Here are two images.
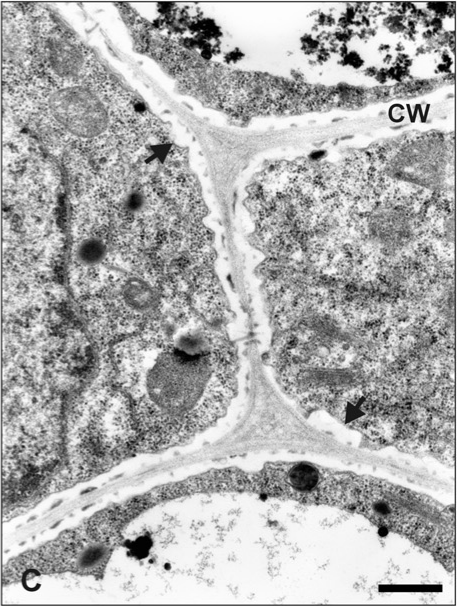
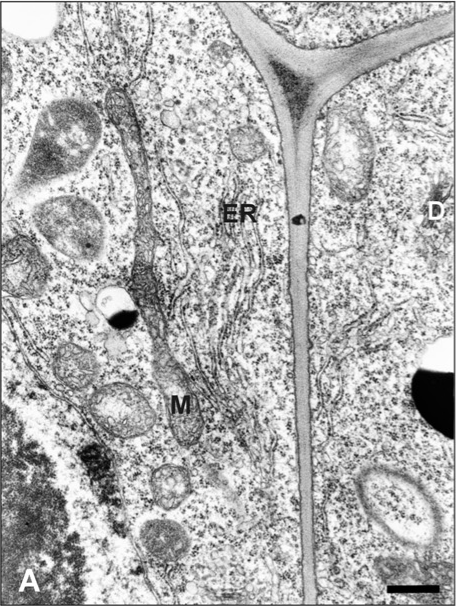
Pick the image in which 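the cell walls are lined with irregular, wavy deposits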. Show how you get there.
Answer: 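First image: pale, uneven, bulging material lines the cell walls where three cells meet. Second image: the cell wall is a smooth, even grey band with straight edges. That points to this answer: the first image.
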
